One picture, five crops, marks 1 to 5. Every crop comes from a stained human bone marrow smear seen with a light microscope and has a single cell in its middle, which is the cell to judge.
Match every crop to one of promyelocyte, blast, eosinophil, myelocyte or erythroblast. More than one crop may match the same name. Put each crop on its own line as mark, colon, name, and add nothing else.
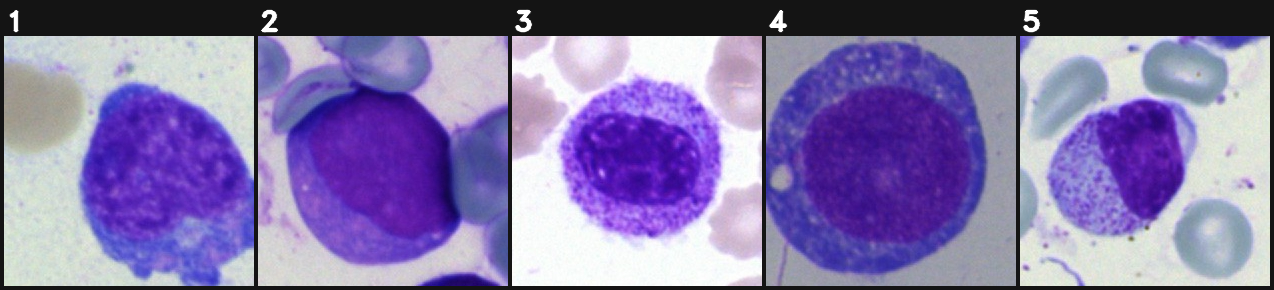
1: blast
2: blast
3: myelocyte
4: blast
5: myelocyte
